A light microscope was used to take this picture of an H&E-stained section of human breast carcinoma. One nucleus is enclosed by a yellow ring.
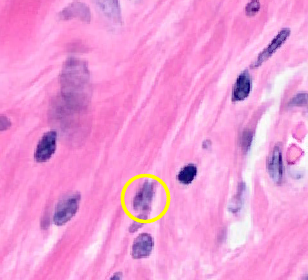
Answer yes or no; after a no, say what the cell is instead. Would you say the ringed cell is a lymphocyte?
Yes.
